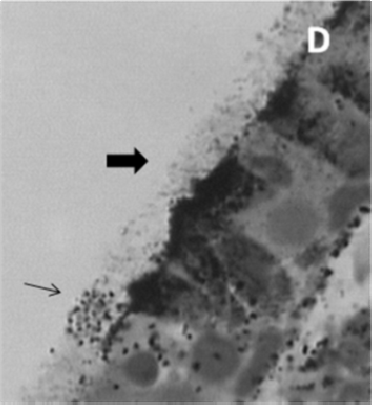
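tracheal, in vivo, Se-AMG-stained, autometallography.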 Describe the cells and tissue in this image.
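This is a section of airway epithelium whose columnar cells face a pale lumen on the left through a fuzzy fringe of cilia. Many small black grains lie in the apical cytoplasm just beneath this ciliated border and scatter more sparsely deeper in the cells, where rounded grey nuclei can be made out. In one cell at the lower left the cytoplasm holds few grains, while a dense cluster of black grains lies out on the ciliary surface next to it.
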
